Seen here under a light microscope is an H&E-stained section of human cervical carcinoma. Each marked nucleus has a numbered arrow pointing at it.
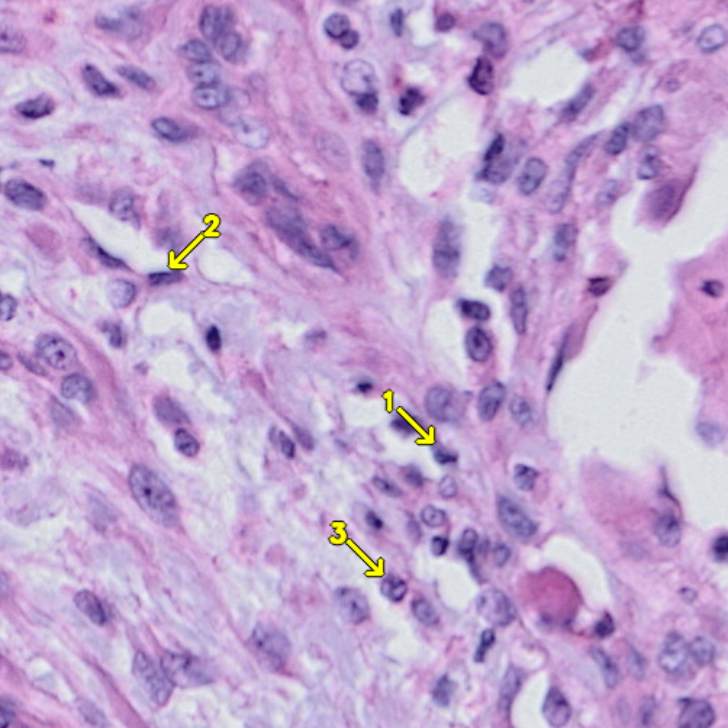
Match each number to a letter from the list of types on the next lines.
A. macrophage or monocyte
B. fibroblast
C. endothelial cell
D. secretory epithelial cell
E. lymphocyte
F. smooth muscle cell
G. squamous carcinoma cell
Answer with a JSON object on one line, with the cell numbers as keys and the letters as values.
{"1": "E", "2": "C", "3": "E"}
